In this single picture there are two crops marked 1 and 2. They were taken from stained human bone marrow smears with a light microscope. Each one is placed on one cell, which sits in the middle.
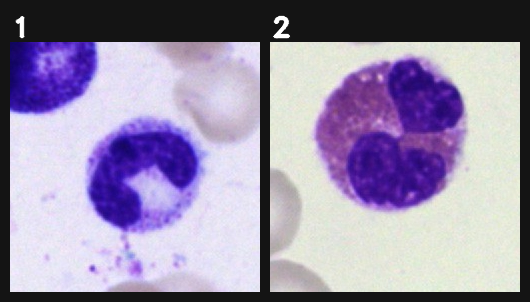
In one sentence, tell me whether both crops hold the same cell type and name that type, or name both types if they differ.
No, the cell that crop 1 shows is a band neutrophil, and the one crop 2 shows is an eosinophil.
